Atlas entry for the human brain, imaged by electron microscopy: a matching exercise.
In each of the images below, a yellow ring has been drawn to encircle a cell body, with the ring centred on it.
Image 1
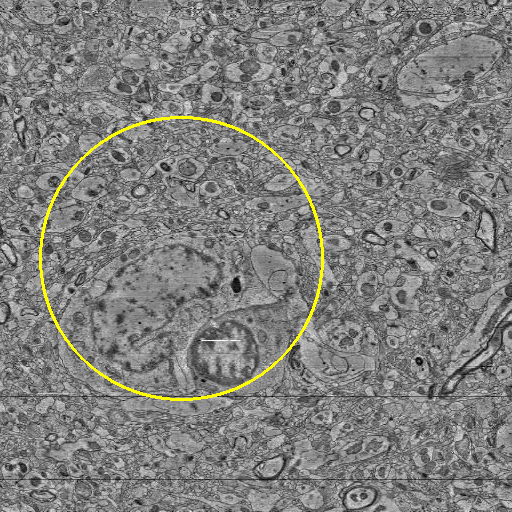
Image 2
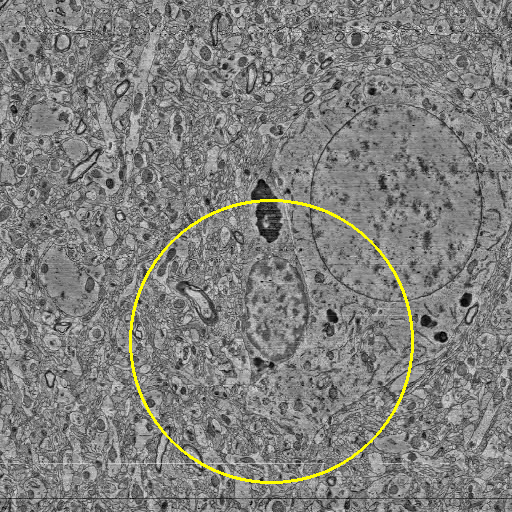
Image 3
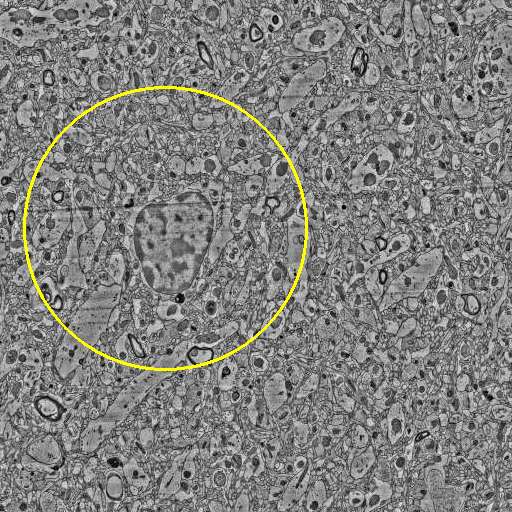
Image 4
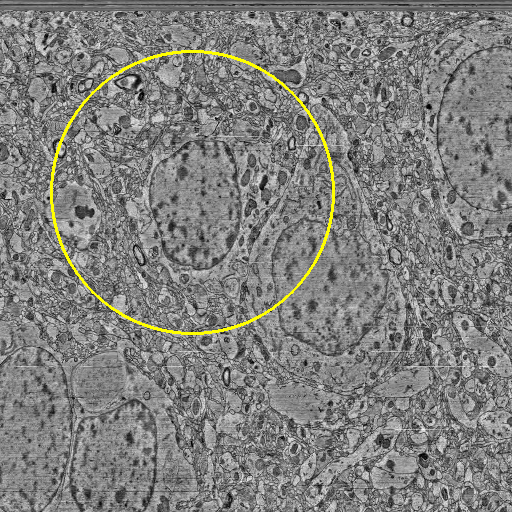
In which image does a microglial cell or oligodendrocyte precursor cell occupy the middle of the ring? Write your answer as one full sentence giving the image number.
In image 3, the ring is centred on the cell in question.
